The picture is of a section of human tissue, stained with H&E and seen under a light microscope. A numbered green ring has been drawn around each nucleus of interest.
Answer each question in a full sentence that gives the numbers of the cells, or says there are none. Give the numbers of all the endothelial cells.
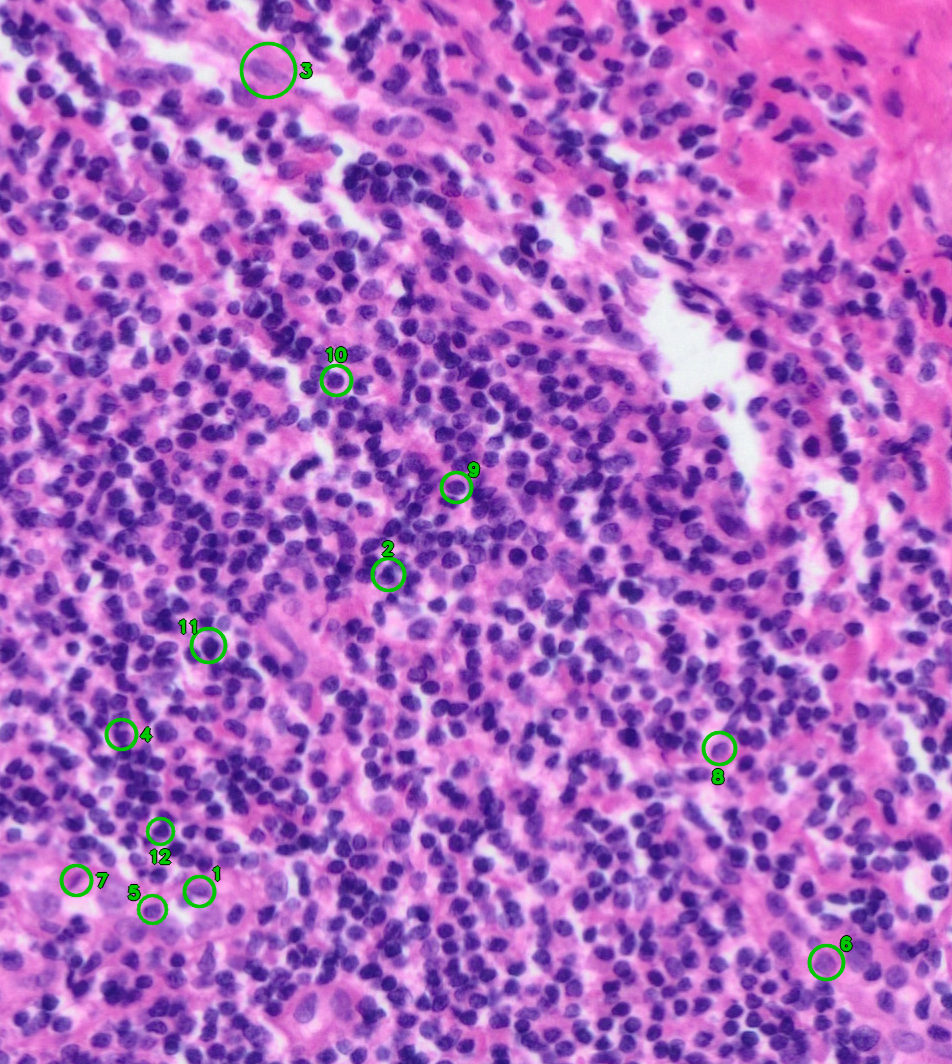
The cells referred to by numbers 1, 3, 5, 6 and 7 are endothelial cells.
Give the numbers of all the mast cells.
Only the cell numbered 8 is a mast cell, and the others are something else.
